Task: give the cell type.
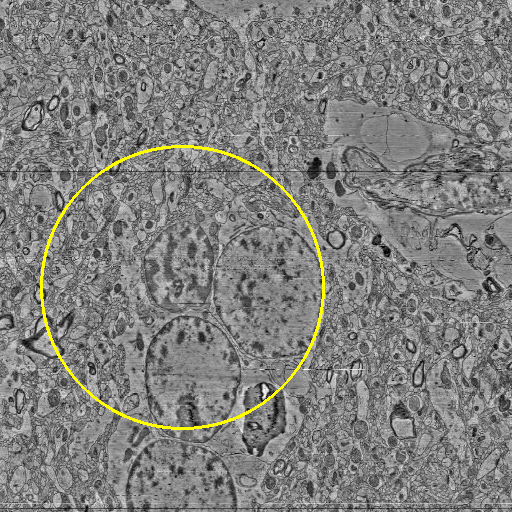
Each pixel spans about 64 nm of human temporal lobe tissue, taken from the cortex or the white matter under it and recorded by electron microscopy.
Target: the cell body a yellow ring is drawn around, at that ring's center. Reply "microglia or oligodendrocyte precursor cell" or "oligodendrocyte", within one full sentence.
In this picture, the cell whose body lies at the ring's center is an oligodendrocyte.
